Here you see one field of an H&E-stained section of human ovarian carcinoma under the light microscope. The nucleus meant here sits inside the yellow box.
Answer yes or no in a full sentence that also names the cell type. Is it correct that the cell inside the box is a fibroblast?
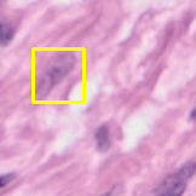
Yes, the description of the cell inside the box as a fibroblast is accurate.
